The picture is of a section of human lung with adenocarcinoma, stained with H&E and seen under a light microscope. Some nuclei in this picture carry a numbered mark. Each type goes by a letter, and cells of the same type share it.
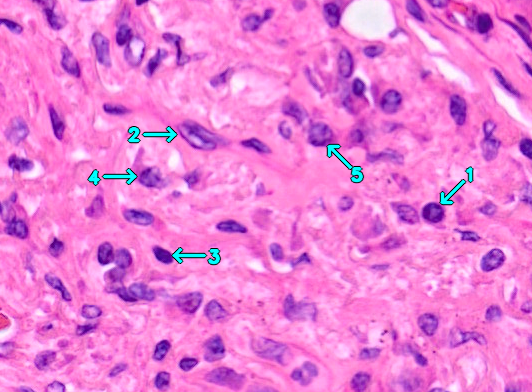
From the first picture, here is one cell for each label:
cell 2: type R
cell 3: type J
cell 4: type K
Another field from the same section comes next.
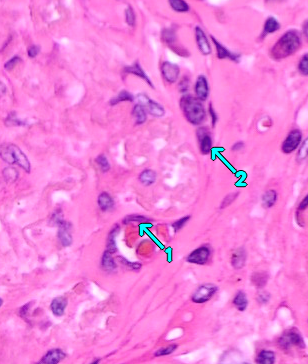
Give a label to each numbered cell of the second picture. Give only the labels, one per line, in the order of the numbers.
type R
type K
